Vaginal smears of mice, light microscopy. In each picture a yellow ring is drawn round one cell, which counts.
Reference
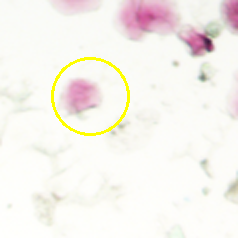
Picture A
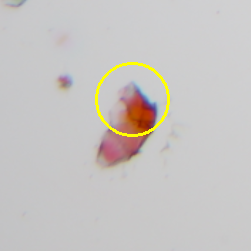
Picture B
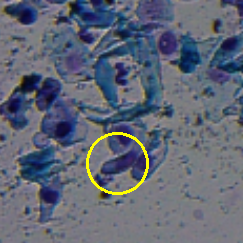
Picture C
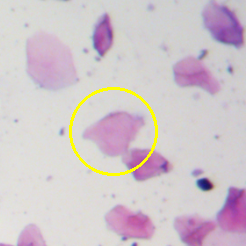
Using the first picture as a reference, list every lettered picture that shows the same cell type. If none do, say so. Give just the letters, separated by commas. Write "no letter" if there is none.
B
